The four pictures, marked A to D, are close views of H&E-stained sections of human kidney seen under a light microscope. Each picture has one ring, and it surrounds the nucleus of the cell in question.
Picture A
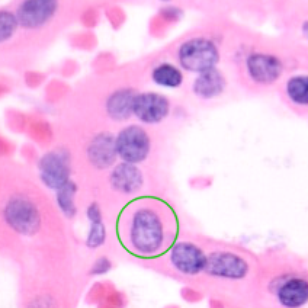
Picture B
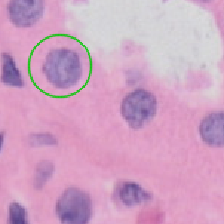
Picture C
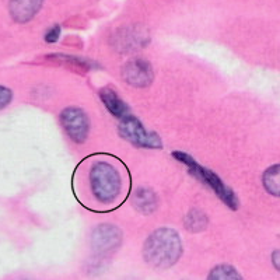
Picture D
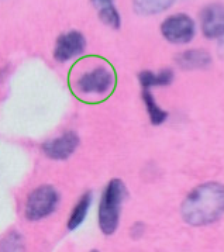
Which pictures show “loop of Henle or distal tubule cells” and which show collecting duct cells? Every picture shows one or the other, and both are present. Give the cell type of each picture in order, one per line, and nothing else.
collecting duct cell
loop of Henle or distal tubule cell
loop of Henle or distal tubule cell
loop of Henle or distal tubule cell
